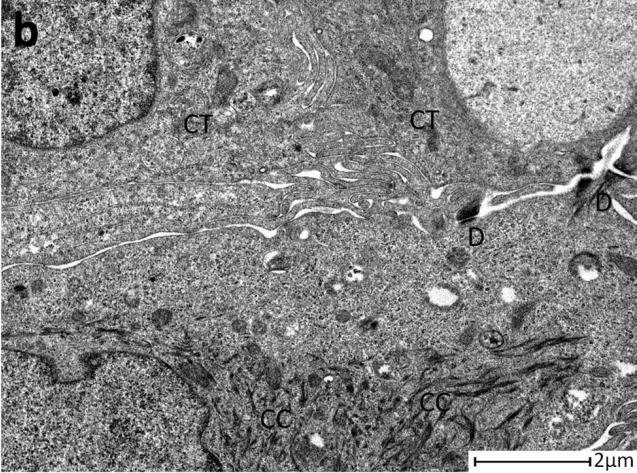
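The filament bundles run in wavy, criss-crossing tracts around the edge of the nucleus at the bottom. Between the cells the membranes form long, thin, interlocking folds separated by narrow pale clefts, and small dark dense plaques, desmosomes, join adjacent cells along these borders. Scattered mitochondria and small vacuoles lie in the cytoplasm.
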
